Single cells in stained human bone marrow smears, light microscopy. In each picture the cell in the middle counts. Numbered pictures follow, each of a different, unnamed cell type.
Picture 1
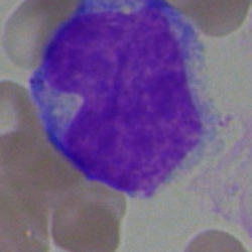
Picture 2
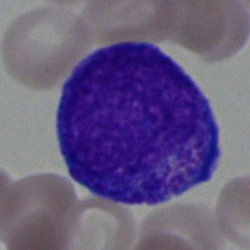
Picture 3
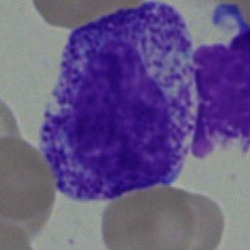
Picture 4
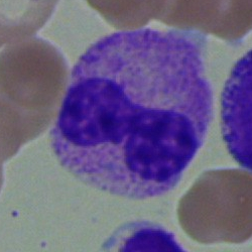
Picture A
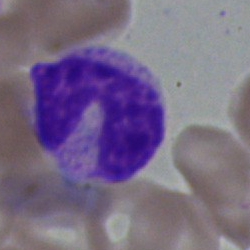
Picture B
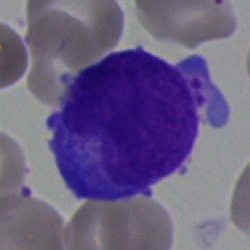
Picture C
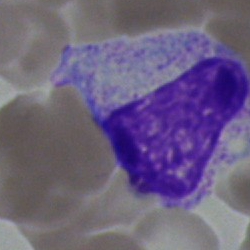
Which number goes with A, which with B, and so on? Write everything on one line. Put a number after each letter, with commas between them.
A 4, B 1, C 3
